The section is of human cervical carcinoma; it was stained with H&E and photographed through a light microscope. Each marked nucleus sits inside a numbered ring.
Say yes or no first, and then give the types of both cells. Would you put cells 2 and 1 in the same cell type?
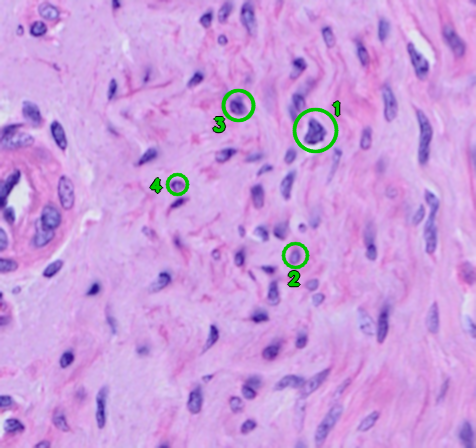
No, cell 2 is a smooth muscle cell and cell 1 is a lymphocyte.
